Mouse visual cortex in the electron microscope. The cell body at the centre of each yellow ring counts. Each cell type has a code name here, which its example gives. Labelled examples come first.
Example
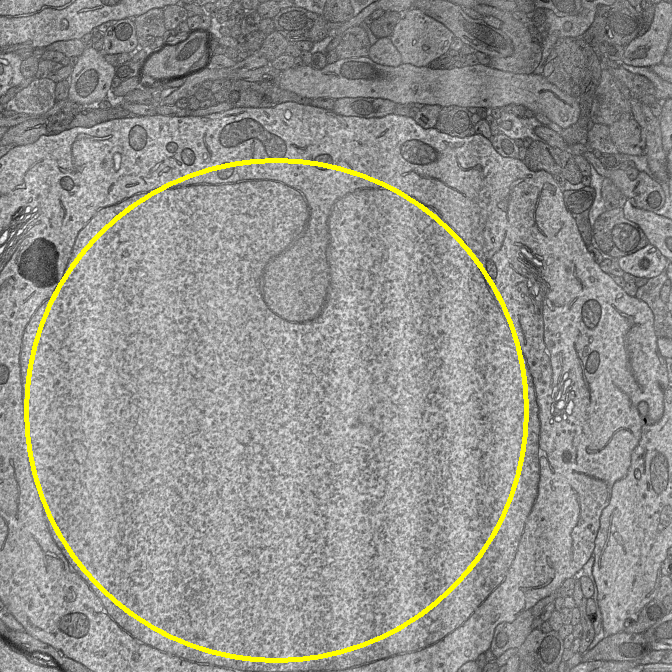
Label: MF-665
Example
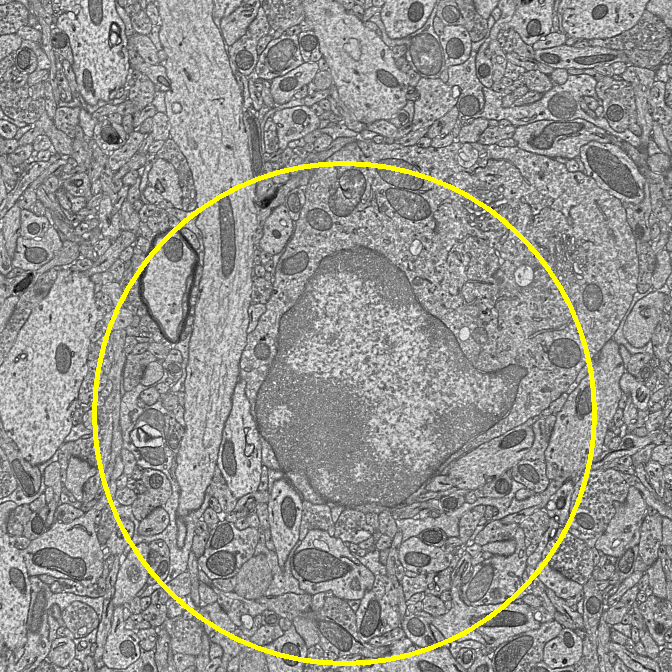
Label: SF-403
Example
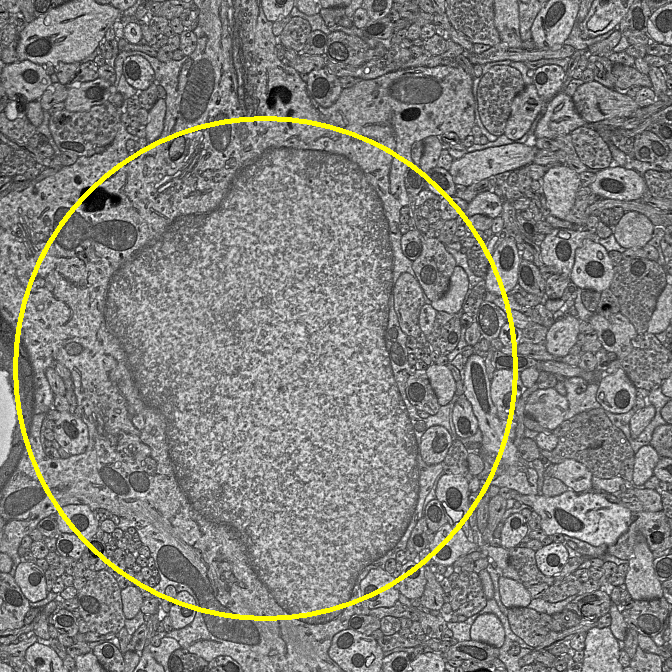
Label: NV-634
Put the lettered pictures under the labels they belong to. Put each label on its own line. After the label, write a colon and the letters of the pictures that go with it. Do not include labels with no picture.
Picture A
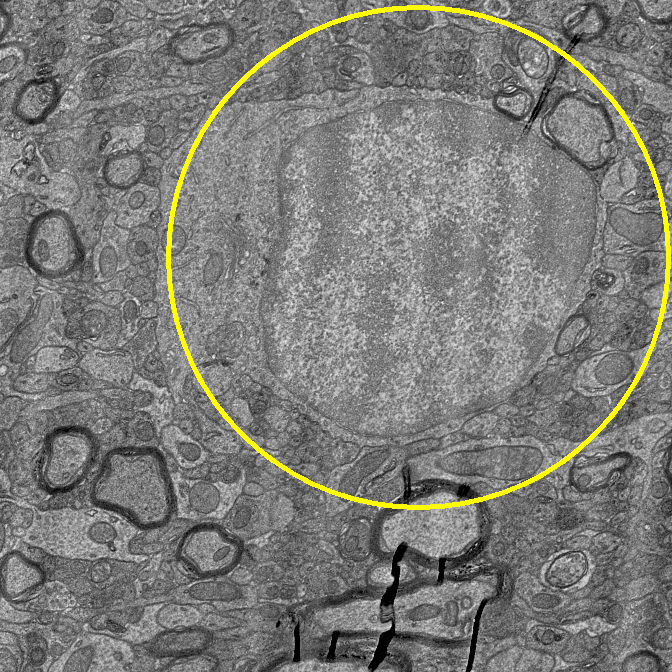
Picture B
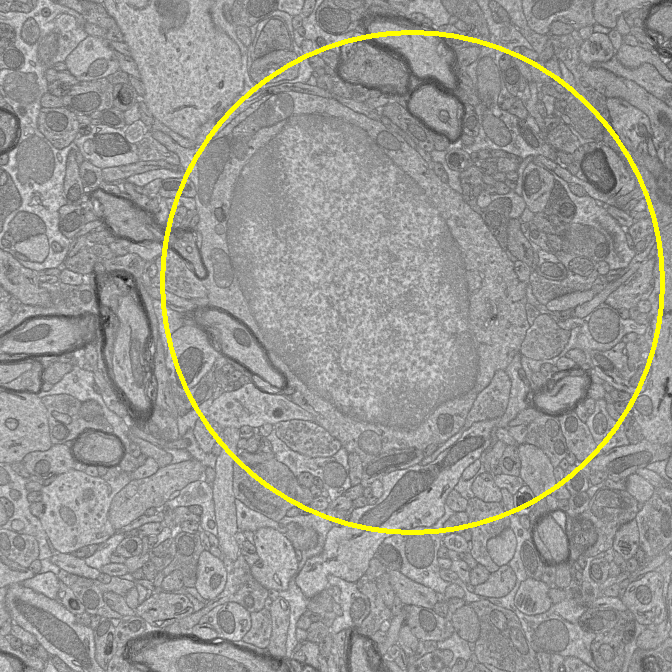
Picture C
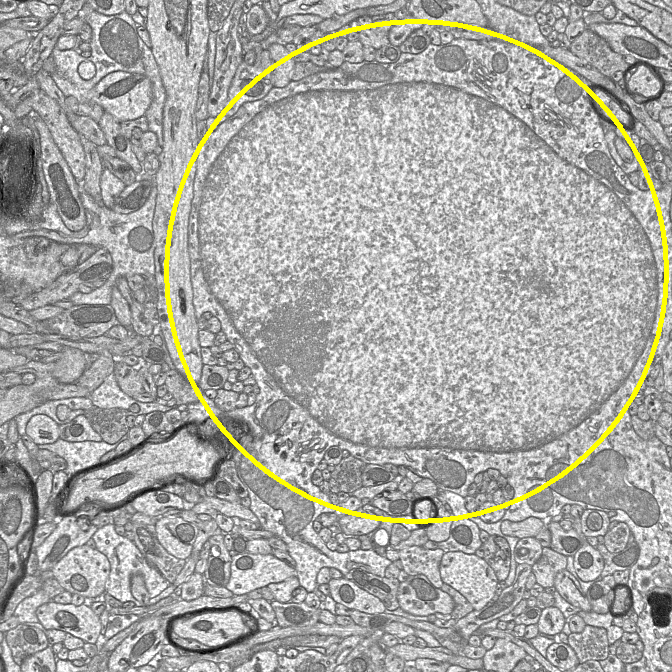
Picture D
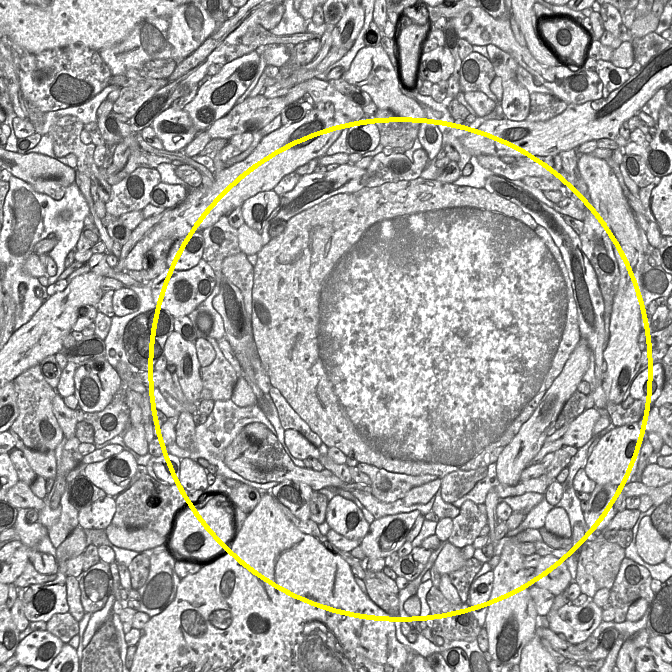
SF-403: A, B, D
NV-634: C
